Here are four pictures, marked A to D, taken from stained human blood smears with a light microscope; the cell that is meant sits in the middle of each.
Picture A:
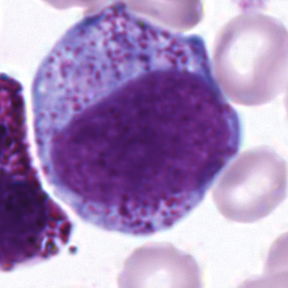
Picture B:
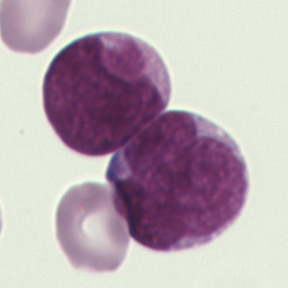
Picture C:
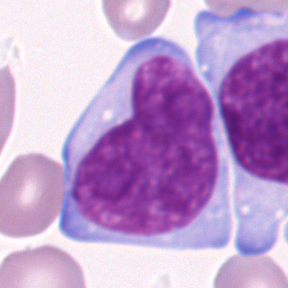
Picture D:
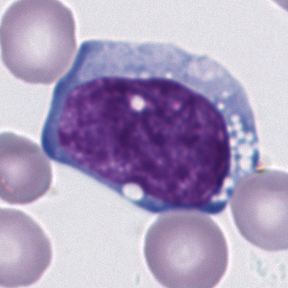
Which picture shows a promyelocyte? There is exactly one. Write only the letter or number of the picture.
A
